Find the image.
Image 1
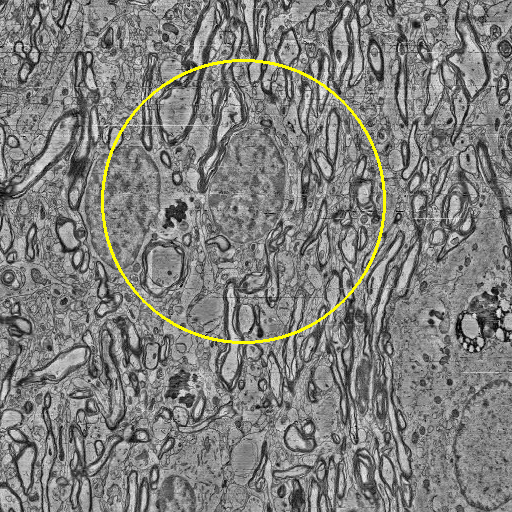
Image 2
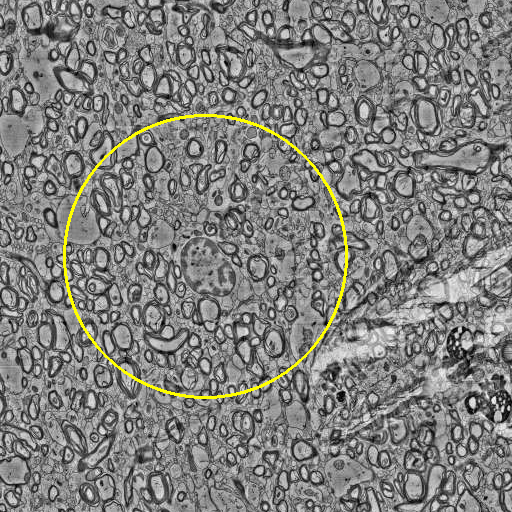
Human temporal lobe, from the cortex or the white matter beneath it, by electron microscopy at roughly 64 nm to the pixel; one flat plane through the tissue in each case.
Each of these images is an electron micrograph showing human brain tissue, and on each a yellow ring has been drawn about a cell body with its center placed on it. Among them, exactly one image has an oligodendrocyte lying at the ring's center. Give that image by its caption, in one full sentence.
The ring in Image 1 is centered on the cell the question describes.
